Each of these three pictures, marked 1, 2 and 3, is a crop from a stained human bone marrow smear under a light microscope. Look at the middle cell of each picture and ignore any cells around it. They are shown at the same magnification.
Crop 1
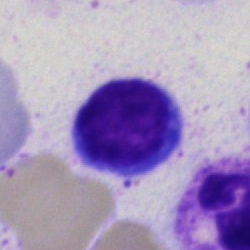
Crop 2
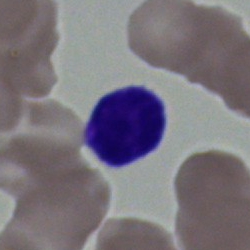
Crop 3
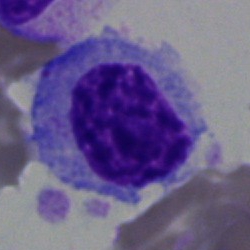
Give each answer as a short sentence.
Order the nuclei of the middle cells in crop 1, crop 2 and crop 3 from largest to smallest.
Largest first: 3, 1, 2.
